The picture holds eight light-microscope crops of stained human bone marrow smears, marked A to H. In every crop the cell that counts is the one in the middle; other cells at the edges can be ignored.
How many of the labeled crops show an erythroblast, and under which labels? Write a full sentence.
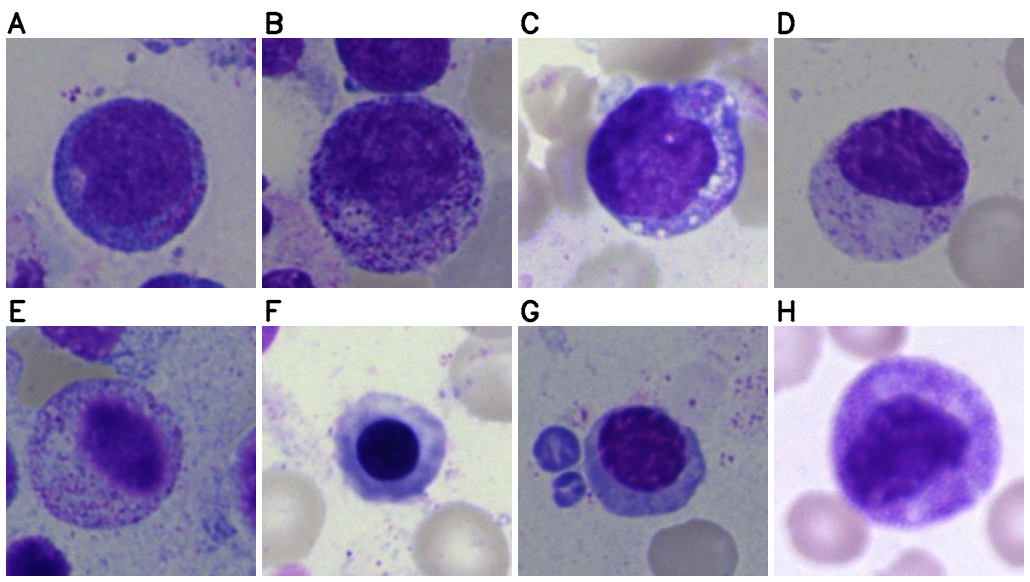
In this group, two crops have erythroblasts: F and G.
